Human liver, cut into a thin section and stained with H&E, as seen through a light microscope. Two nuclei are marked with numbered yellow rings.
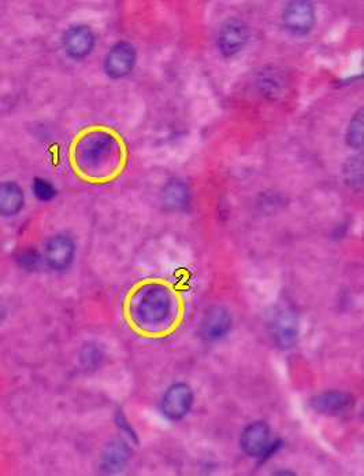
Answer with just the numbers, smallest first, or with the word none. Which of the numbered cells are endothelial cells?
1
